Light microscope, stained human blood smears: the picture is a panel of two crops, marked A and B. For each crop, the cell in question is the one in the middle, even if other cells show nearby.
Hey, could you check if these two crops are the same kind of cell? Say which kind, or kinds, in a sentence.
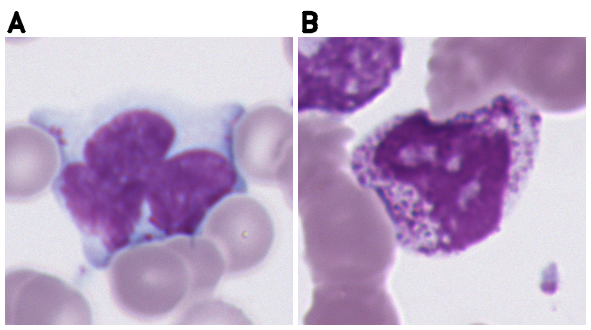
No, crop A displays a large granular lymphocyte and crop B displays a myelocyte.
